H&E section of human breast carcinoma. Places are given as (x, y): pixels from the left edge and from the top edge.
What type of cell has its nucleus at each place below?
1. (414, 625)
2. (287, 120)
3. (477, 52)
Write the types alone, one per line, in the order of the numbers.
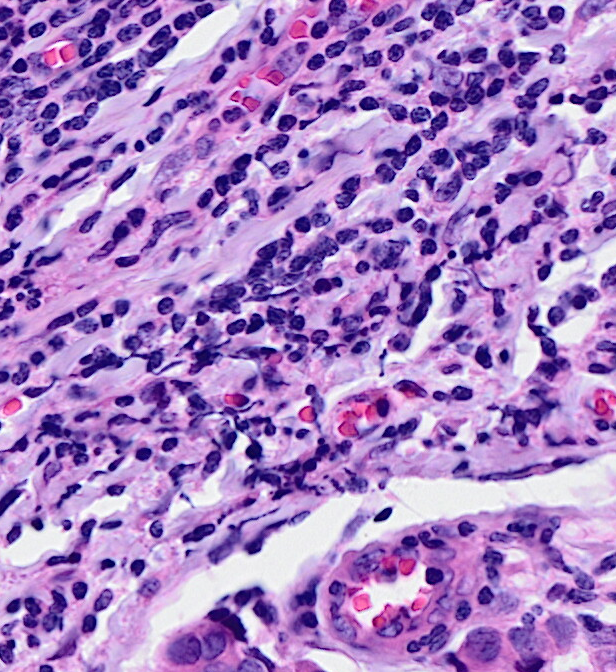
endothelial cell
lymphocyte
lymphocyte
